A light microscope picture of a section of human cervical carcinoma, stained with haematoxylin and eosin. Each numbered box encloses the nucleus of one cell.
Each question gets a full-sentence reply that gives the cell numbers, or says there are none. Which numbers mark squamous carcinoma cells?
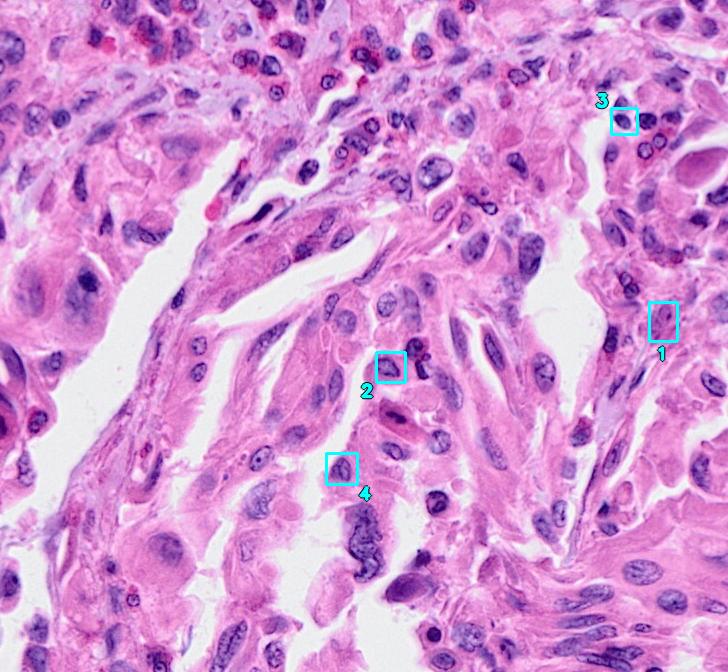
Cells that were given the numbers 2 and 4 are squamous carcinoma cells.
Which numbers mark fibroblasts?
Where the numbered cells are concerned, only number 1 is a fibroblast.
